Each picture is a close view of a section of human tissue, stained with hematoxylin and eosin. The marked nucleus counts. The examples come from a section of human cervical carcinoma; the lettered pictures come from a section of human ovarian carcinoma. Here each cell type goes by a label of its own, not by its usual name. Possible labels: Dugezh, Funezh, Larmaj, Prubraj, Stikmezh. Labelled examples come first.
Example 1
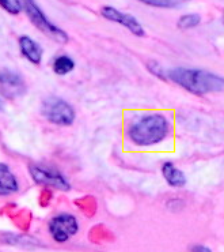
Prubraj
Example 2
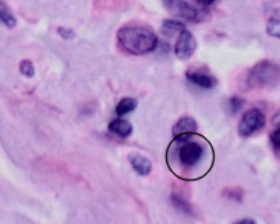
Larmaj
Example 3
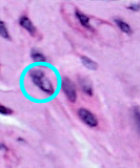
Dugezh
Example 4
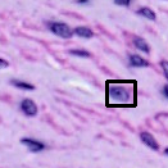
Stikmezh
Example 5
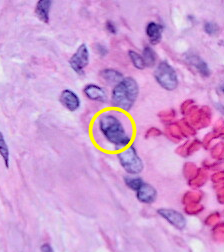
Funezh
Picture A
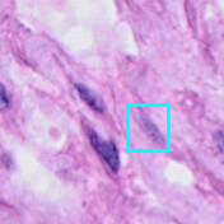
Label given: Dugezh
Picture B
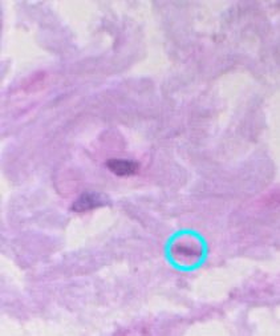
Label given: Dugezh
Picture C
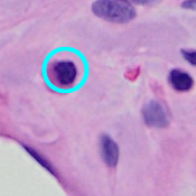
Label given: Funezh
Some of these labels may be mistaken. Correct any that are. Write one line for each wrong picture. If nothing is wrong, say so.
Wrong: C (Funezh); correct: Larmaj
